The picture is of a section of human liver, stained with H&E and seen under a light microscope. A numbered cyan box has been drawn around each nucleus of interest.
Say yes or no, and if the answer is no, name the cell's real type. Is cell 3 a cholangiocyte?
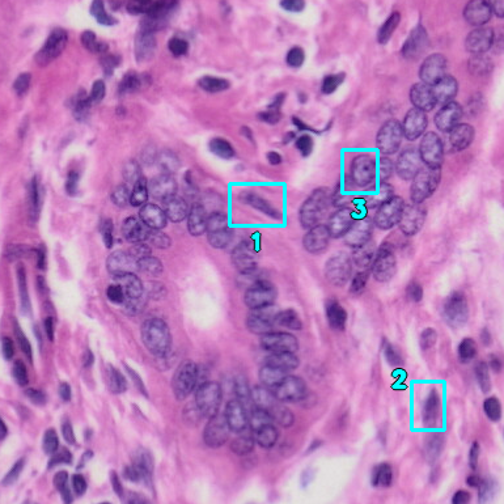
Yes.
